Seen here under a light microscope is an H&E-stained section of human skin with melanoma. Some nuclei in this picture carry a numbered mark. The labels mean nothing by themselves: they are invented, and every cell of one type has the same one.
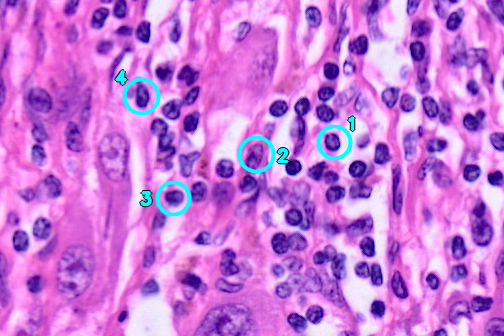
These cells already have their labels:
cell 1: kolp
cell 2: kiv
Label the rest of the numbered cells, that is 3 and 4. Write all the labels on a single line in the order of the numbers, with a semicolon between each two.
kolp; kolp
